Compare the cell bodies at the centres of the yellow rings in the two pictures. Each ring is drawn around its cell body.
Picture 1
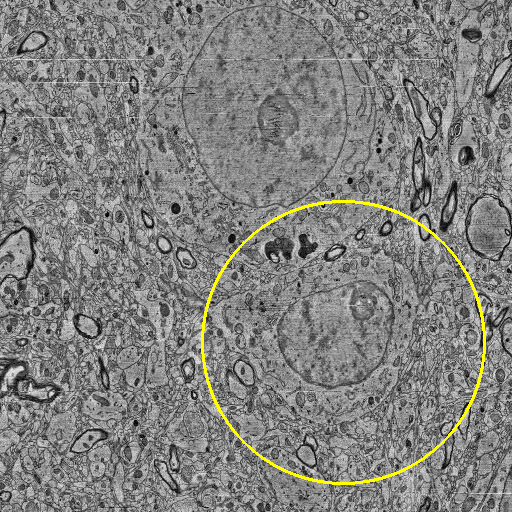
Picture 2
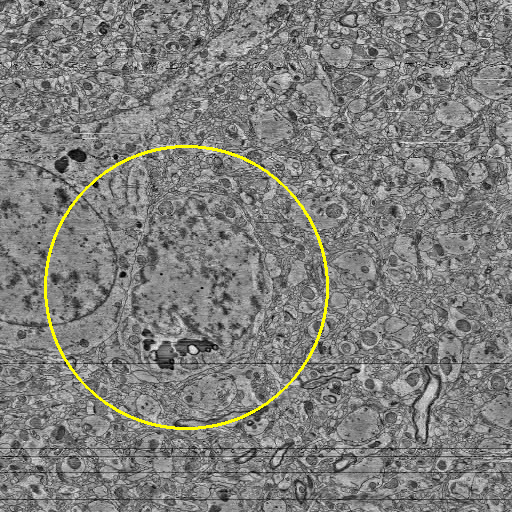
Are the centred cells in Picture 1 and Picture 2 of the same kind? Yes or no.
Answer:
yes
